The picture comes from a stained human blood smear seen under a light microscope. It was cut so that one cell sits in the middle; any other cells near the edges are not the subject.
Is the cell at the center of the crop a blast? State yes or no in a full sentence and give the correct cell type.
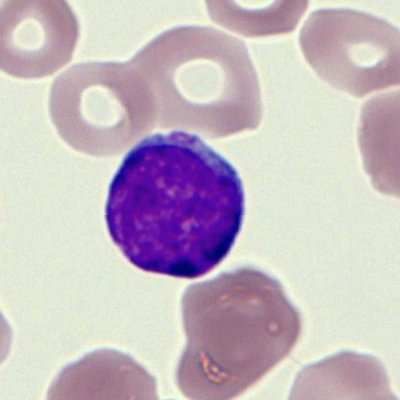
No, the correct answer for the middle cell is a lymphocyte, not a blast.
